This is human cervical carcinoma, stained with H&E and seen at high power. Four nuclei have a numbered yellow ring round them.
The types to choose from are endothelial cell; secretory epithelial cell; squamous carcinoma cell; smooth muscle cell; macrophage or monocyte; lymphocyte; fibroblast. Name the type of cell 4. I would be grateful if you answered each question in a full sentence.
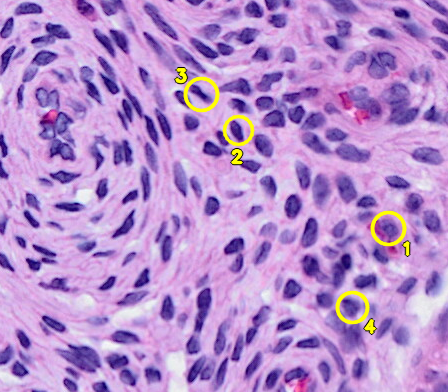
Heads up, the cell numbered 4 is a fibroblast.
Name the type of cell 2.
The correct answer for cell 2 is a fibroblast.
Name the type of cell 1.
Belonging to an endothelial cell is the nucleus that carries the number 1.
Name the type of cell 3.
At number 3, the marked cell is a fibroblast.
